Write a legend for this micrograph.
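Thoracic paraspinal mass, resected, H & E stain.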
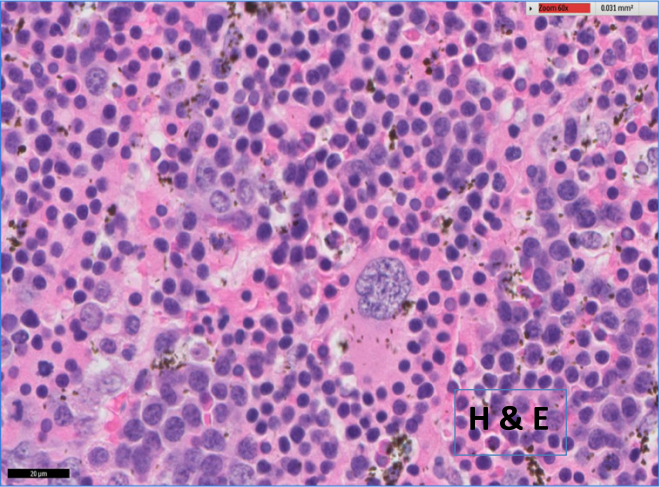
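Dense hematopoietic tissue composed of sheets of closely packed cells. Most cells are small and round with dark, condensed round nuclei, mixed with larger cells with paler, more open nuclei. Near the centre lies a very large cell with a big lobulated nucleus and ample pink cytoplasm. Pink eosinophilic material runs between cell groups, and clumps of dark brown-black granular pigment are scattered throughout.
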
